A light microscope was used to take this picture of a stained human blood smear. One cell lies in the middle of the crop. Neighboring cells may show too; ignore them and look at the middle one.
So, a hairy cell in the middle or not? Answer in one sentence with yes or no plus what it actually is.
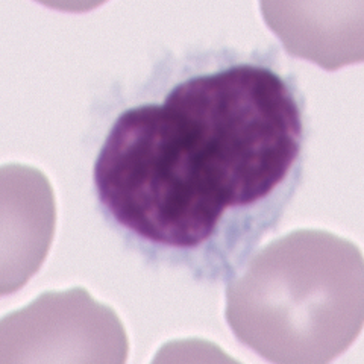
Yes, the central element of the crop is a hairy cell.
